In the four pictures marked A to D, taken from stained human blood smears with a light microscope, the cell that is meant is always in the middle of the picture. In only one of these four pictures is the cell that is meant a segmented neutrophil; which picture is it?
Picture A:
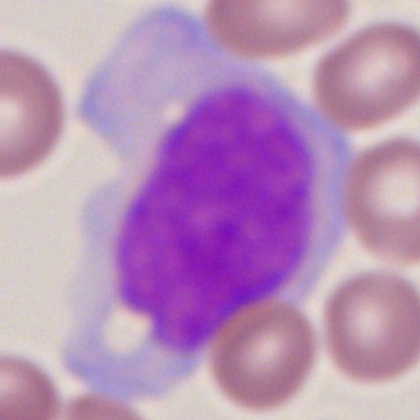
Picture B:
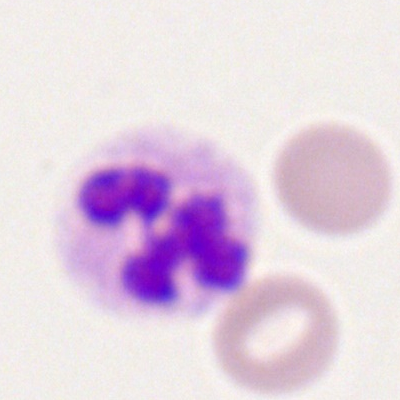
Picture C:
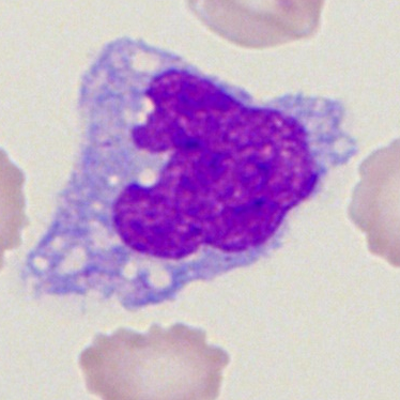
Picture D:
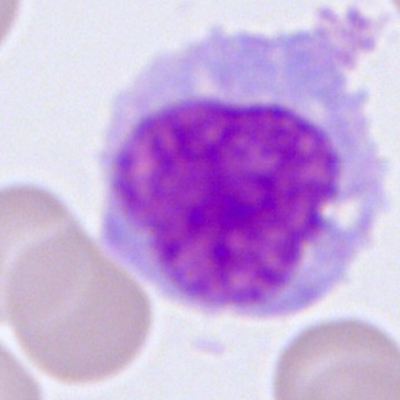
B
